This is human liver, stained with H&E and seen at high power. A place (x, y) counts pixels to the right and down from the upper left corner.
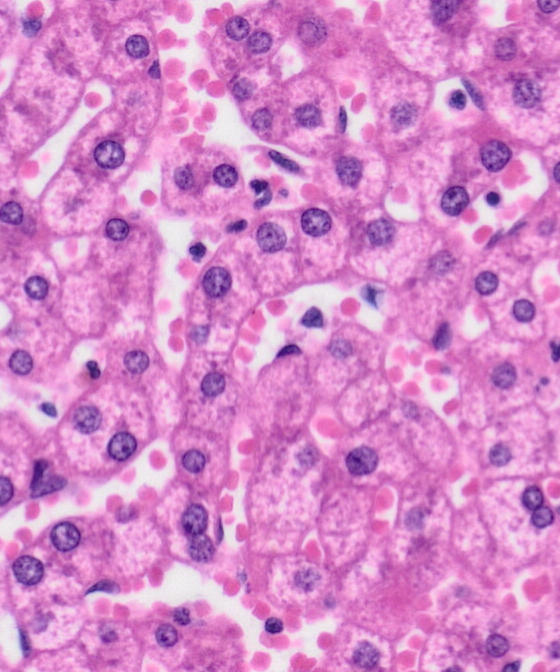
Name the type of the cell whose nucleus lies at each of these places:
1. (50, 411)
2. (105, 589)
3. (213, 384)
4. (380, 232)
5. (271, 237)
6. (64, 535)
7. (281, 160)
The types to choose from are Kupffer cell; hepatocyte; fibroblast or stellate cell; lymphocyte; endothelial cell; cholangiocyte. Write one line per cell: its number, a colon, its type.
1: lymphocyte
2: endothelial cell
3: hepatocyte
4: hepatocyte
5: hepatocyte
6: hepatocyte
7: Kupffer cell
